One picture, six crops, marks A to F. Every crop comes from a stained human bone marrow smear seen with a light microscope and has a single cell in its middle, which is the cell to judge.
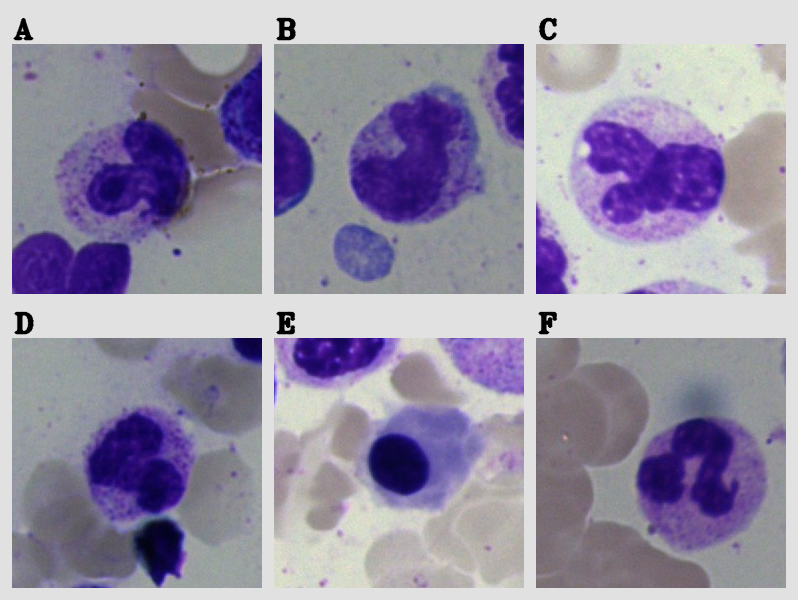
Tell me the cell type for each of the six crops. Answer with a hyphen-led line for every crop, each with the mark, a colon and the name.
- A: segmented neutrophil
- B: band neutrophil
- C: segmented neutrophil
- D: segmented neutrophil
- E: normoblast
- F: segmented neutrophil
